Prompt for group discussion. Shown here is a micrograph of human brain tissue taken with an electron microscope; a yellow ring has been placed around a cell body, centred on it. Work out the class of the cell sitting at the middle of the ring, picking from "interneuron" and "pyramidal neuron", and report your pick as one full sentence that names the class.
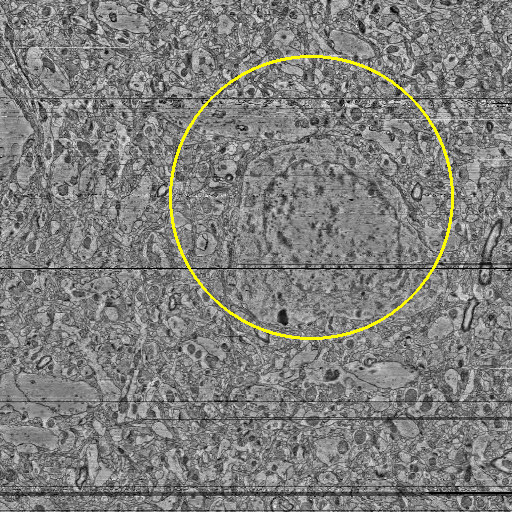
The cell sitting at the middle of the yellow ring is an interneuron.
